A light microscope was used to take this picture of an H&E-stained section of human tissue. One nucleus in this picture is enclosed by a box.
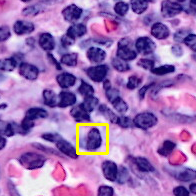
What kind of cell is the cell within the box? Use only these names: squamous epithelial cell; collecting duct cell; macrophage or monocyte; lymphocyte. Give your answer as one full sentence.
In this tissue sample, the cell within the box is a lymphocyte.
